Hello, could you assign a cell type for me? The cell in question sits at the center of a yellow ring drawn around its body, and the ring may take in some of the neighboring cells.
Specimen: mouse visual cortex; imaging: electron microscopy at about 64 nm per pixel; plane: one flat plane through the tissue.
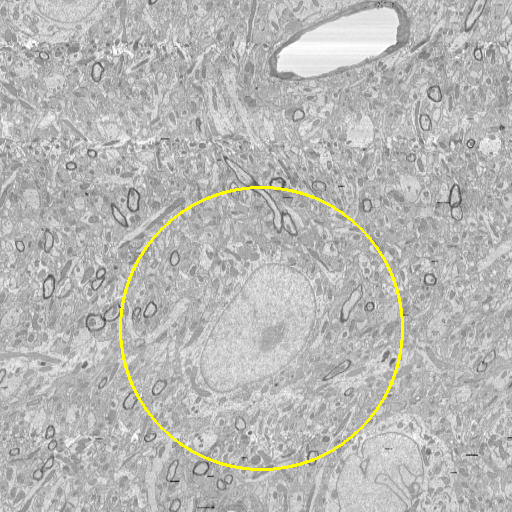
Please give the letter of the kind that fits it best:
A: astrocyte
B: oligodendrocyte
A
